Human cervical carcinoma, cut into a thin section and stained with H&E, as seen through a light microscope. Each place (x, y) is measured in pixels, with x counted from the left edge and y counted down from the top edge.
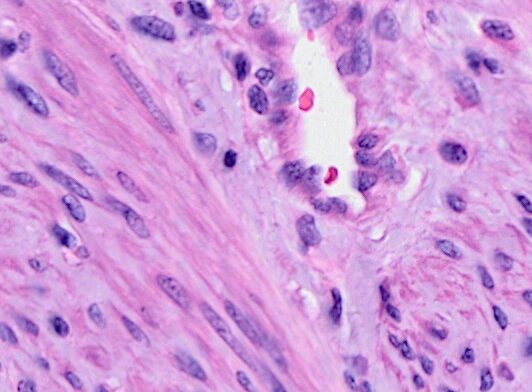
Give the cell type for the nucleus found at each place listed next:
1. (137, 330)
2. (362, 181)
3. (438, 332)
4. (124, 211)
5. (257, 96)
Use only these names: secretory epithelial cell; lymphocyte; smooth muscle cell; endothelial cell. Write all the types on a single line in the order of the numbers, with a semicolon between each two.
smooth muscle cell; endothelial cell; smooth muscle cell; smooth muscle cell; lymphocyte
